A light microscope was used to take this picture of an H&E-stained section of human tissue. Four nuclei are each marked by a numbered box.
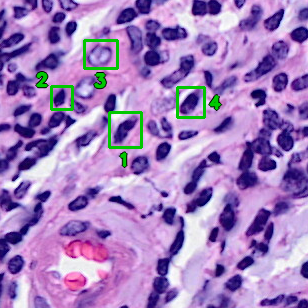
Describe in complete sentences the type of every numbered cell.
Cells 1, 2 and 4 are lymphocytes. Cell 3 is an endothelial cell.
